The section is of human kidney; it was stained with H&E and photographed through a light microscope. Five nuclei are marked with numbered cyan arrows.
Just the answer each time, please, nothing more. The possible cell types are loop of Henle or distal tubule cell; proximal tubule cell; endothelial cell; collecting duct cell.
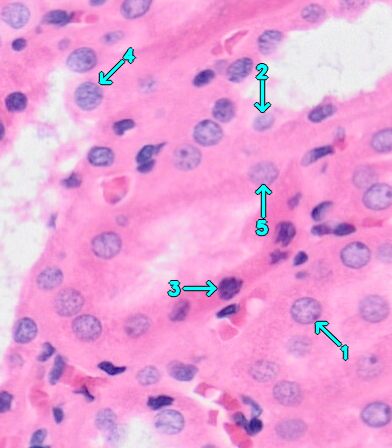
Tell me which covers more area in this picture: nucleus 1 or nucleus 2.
1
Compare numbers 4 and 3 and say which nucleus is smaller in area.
3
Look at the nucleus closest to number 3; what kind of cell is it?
endothelial cell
